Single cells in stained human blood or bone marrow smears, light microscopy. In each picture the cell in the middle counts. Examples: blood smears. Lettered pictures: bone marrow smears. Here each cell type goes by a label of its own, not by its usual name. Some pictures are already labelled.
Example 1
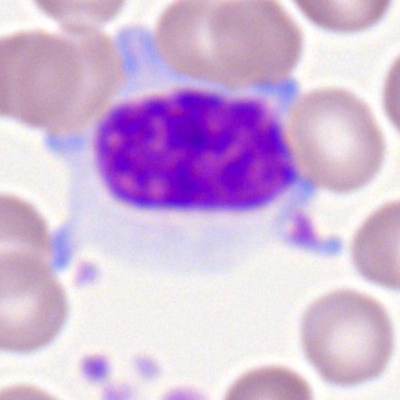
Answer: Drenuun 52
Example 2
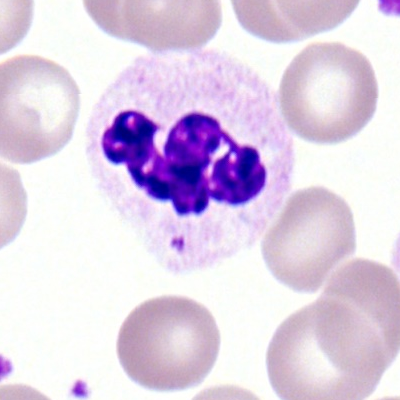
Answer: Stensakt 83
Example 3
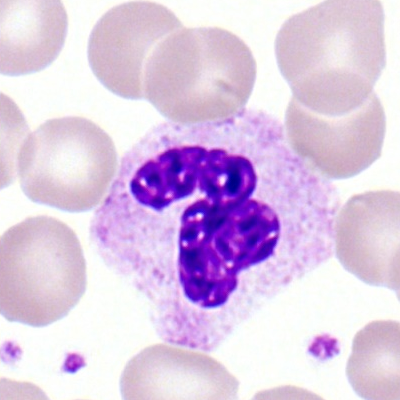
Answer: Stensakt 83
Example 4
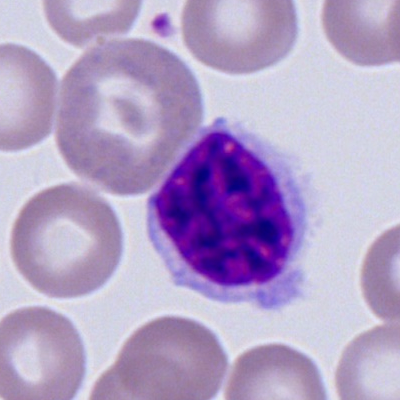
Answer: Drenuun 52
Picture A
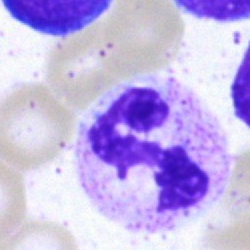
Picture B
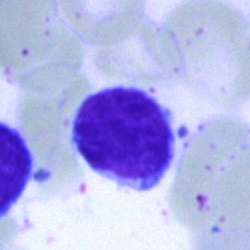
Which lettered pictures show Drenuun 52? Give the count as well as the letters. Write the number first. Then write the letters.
1: B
